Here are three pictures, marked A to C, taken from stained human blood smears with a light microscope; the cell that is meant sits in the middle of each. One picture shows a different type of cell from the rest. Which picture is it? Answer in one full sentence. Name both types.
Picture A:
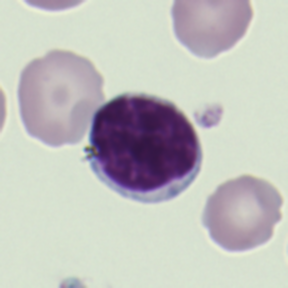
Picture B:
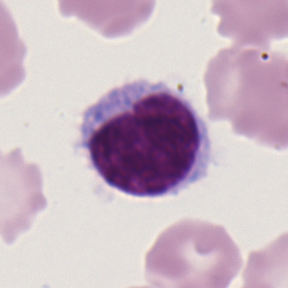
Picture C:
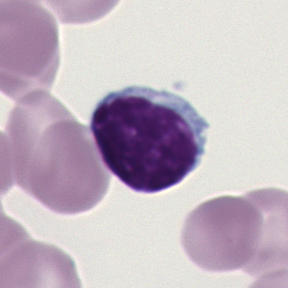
All pictures except B show typical lymphocytes; picture B shows a hairy cell.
